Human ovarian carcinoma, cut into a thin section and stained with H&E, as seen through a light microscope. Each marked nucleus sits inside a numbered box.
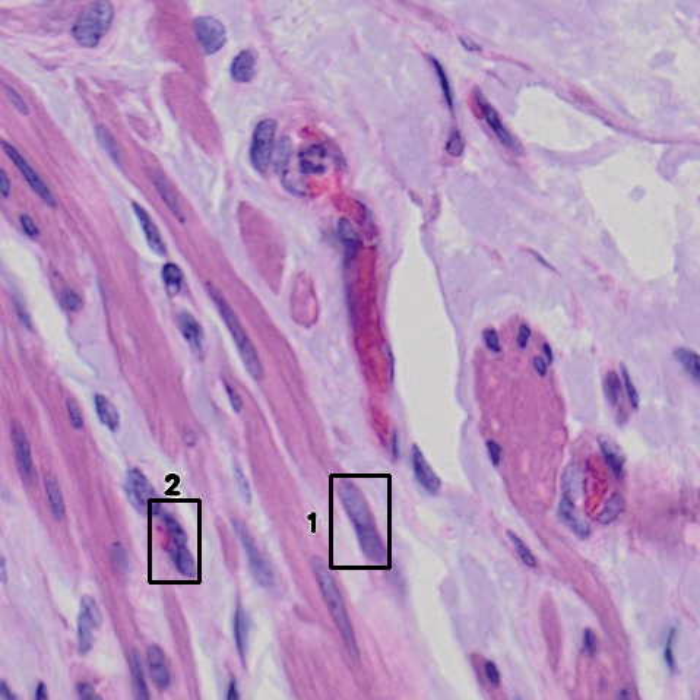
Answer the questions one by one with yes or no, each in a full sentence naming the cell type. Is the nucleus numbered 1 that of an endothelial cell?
No, cell 1 is not an endothelial cell at all but a smooth muscle cell.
